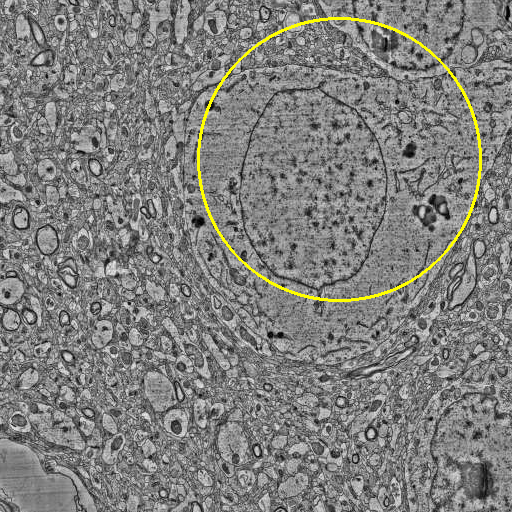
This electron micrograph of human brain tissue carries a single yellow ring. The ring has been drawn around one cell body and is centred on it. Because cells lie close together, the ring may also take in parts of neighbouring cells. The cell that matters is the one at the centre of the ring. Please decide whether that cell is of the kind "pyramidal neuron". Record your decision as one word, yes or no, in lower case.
yes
